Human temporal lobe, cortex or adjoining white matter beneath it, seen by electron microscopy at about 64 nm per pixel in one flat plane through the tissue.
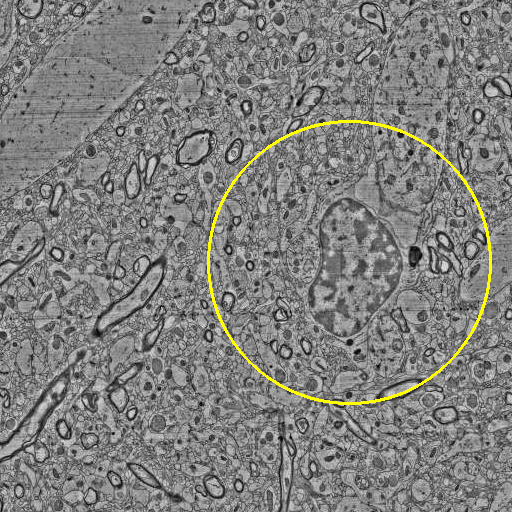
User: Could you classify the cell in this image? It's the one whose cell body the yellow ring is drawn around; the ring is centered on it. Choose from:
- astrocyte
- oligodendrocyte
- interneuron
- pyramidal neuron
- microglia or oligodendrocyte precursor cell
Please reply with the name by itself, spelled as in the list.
microglia or oligodendrocyte precursor cell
